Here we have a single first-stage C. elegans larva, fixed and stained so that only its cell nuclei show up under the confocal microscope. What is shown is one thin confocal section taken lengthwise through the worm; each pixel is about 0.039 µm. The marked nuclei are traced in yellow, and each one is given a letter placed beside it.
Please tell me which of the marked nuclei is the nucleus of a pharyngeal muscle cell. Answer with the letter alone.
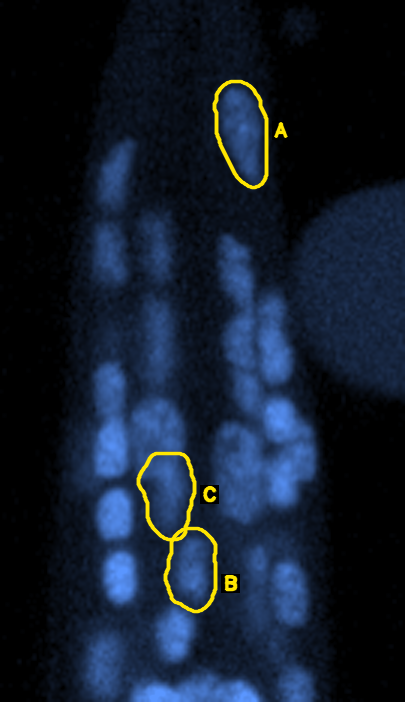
B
